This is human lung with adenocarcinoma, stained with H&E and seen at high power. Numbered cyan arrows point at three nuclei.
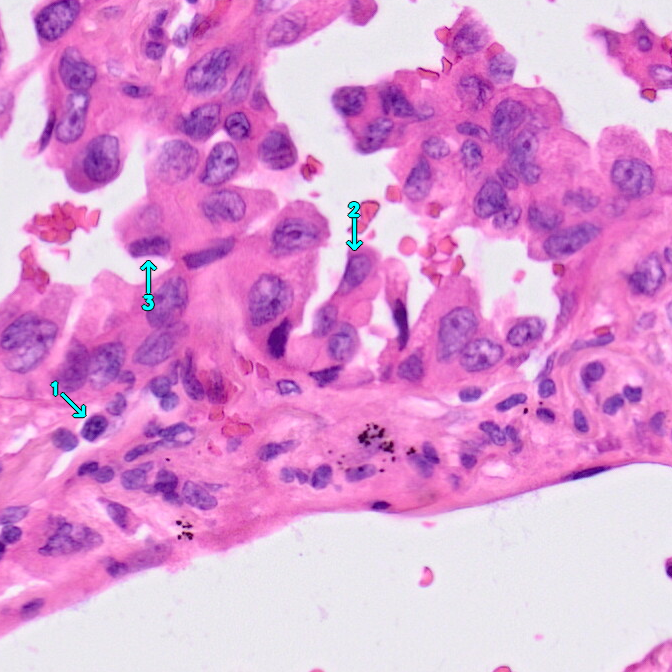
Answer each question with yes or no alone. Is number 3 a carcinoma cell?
yes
